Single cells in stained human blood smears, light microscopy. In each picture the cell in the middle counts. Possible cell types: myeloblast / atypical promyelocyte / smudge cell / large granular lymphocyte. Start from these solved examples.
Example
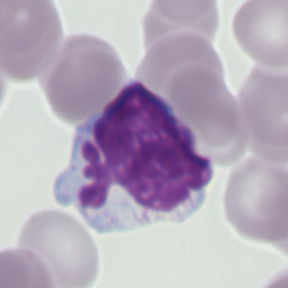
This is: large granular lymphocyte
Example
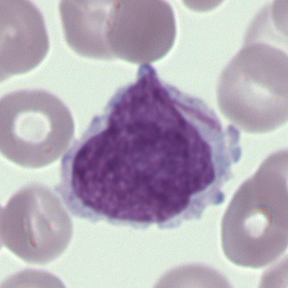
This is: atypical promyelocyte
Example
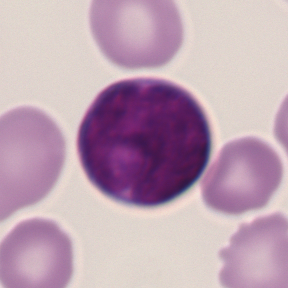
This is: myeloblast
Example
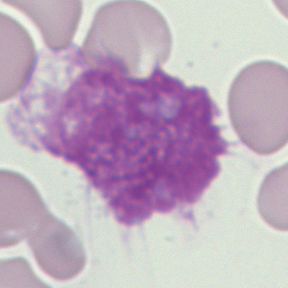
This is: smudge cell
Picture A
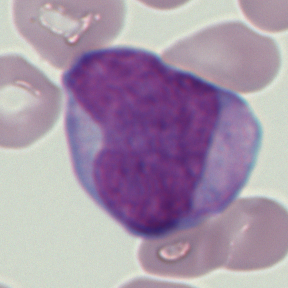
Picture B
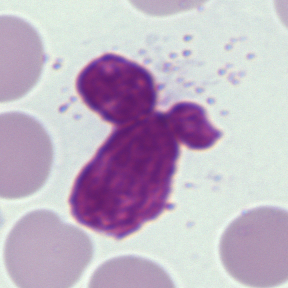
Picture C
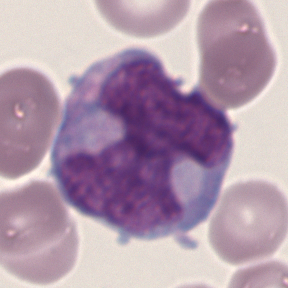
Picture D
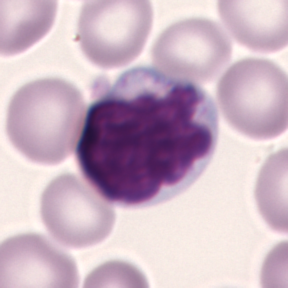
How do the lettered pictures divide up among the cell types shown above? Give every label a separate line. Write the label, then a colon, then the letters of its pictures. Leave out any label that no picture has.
atypical promyelocyte: A, C
smudge cell: B
large granular lymphocyte: D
